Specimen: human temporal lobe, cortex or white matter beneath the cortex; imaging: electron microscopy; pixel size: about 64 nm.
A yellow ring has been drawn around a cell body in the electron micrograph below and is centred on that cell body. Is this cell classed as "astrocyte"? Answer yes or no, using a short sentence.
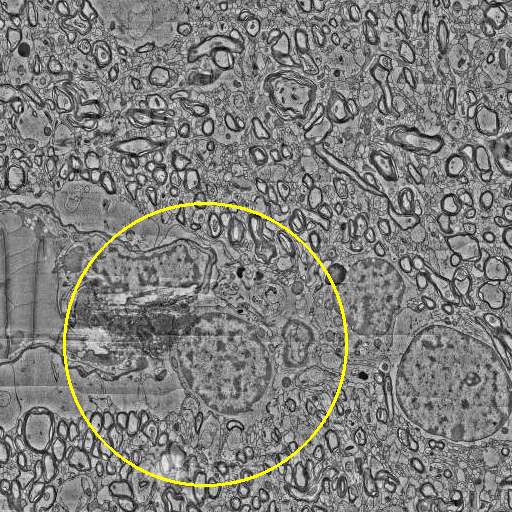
No, it is classed as another kind.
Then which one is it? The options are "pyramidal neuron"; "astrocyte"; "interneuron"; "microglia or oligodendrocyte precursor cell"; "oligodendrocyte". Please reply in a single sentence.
The cell marked by the ring is an oligodendrocyte.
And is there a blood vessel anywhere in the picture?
Yes, there is a blood vessel in the image.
